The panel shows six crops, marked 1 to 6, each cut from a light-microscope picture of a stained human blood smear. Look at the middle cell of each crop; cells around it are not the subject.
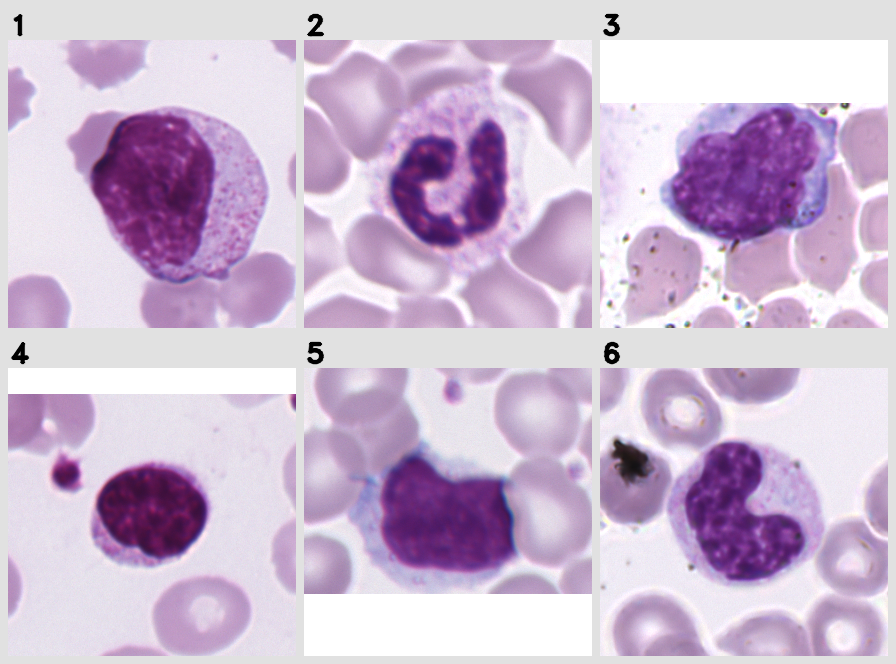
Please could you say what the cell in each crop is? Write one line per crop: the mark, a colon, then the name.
1: myelocyte
2: segmented neutrophil
3: plasma cell
4: large granular lymphocyte
5: typical lymphocyte
6: band neutrophil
